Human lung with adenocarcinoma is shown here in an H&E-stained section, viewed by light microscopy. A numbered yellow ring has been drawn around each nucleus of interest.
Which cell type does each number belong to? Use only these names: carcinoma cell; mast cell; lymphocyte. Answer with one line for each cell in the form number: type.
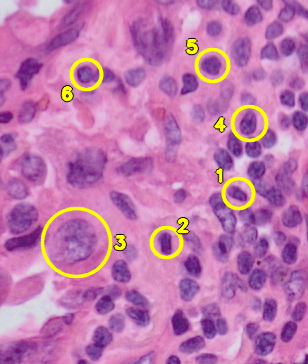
1: lymphocyte
2: lymphocyte
3: carcinoma cell
4: lymphocyte
5: lymphocyte
6: mast cell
